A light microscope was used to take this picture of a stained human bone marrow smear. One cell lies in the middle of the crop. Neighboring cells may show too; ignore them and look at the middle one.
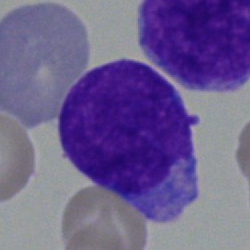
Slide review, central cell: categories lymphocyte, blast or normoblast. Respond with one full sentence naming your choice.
Classification of the middle cell gives a blast.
